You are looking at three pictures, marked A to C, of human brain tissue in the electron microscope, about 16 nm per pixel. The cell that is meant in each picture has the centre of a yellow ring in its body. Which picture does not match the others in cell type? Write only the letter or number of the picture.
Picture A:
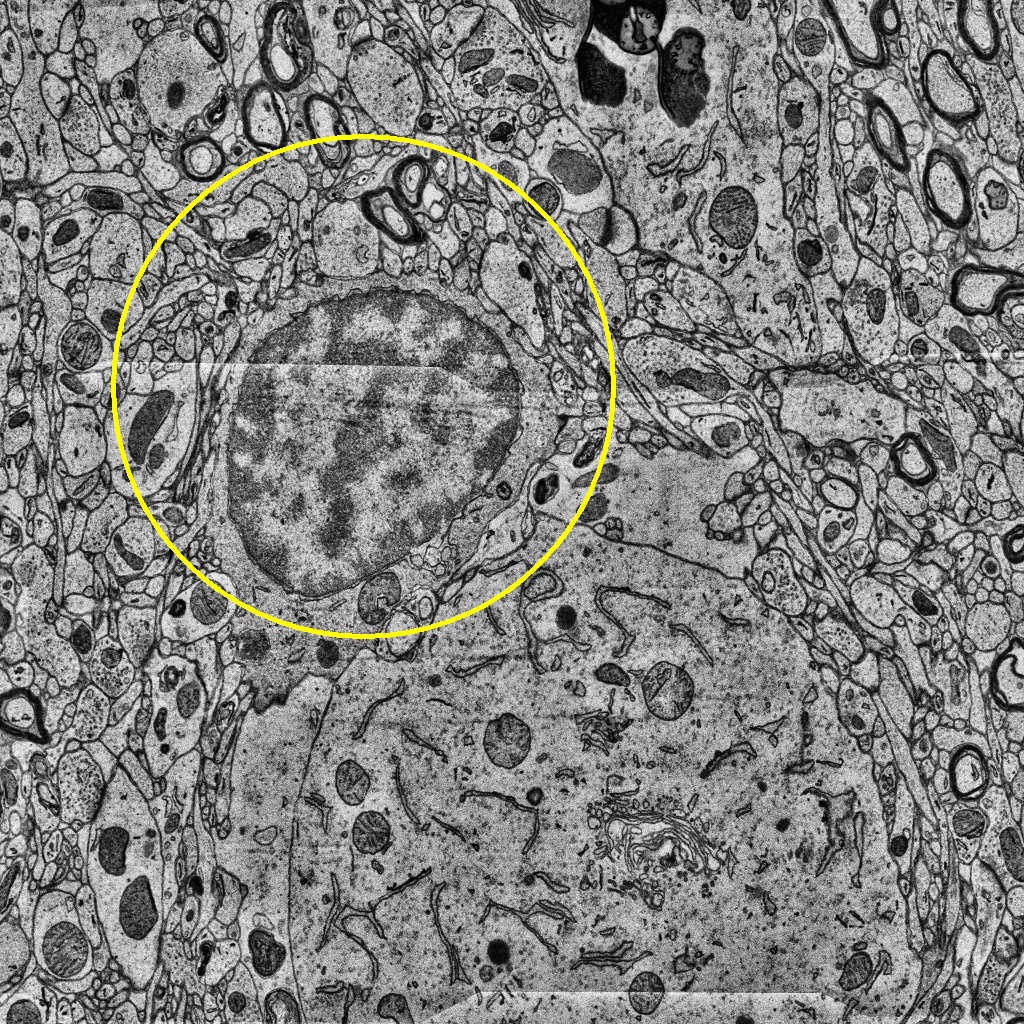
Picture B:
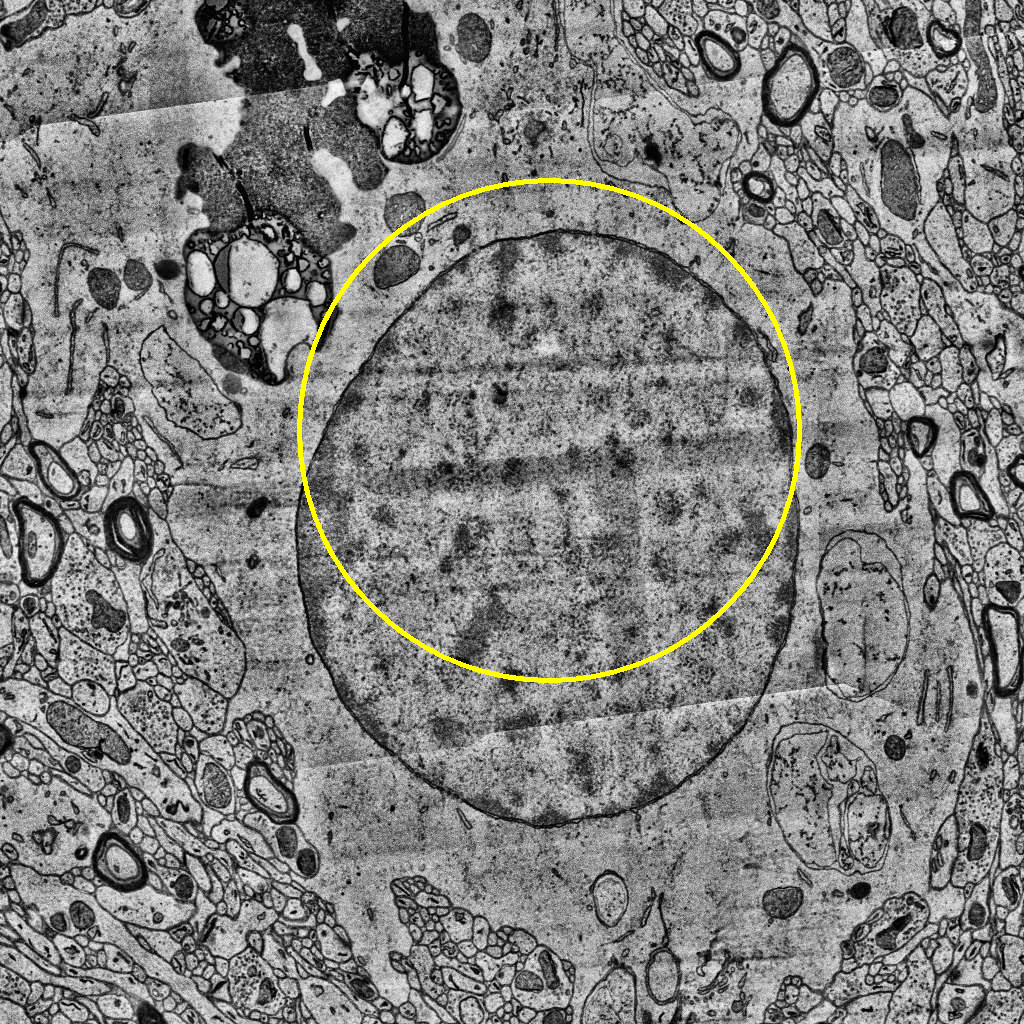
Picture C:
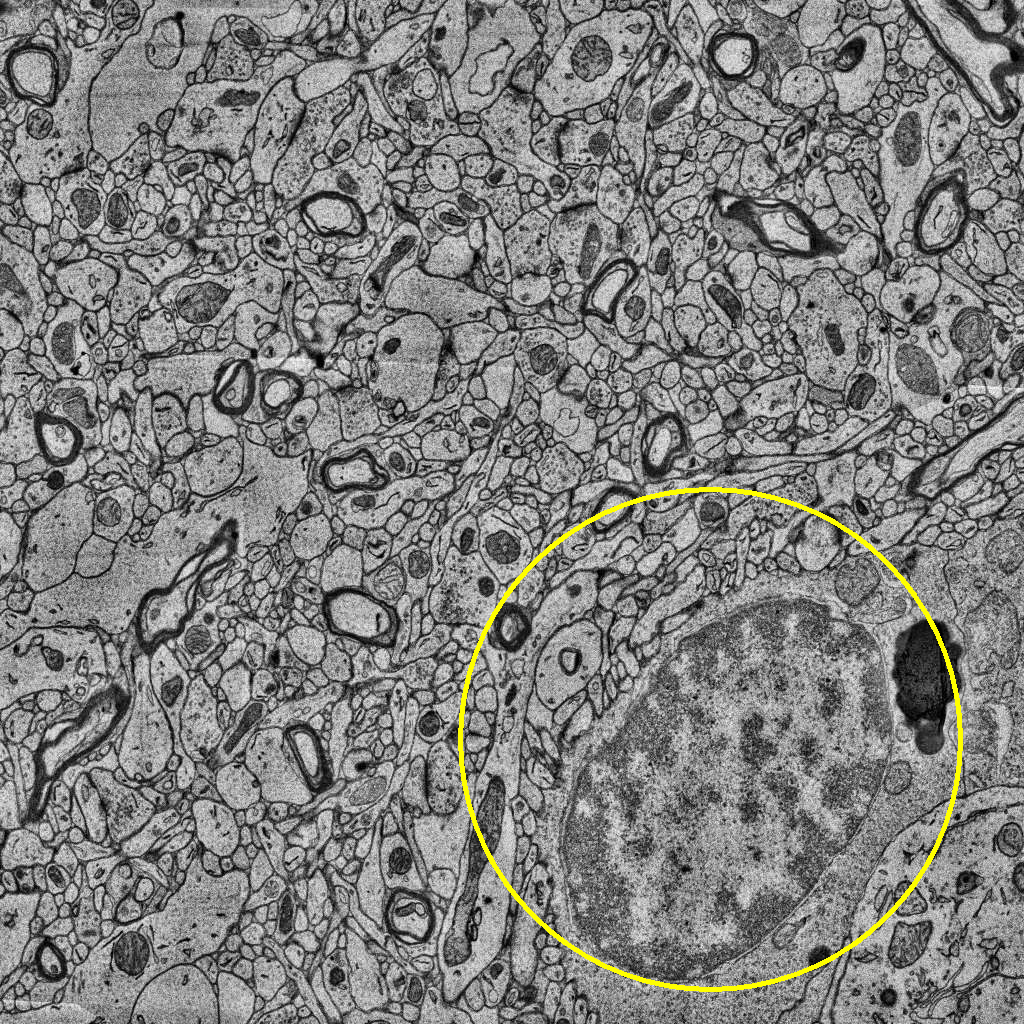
B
